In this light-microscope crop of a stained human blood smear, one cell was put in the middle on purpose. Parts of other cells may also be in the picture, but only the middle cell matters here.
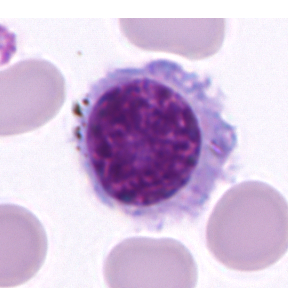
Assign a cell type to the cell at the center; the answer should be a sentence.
What the crop centres on is a plasma cell.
